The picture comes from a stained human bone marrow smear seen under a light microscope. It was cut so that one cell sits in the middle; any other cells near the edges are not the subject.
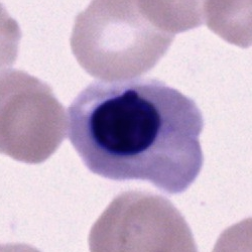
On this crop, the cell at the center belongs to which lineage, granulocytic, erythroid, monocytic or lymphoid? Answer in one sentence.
In terms of lineage, the cell in the middle is erythroid.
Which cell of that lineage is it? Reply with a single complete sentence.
In the crop, the cell of interest at the centre is an erythroblast.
